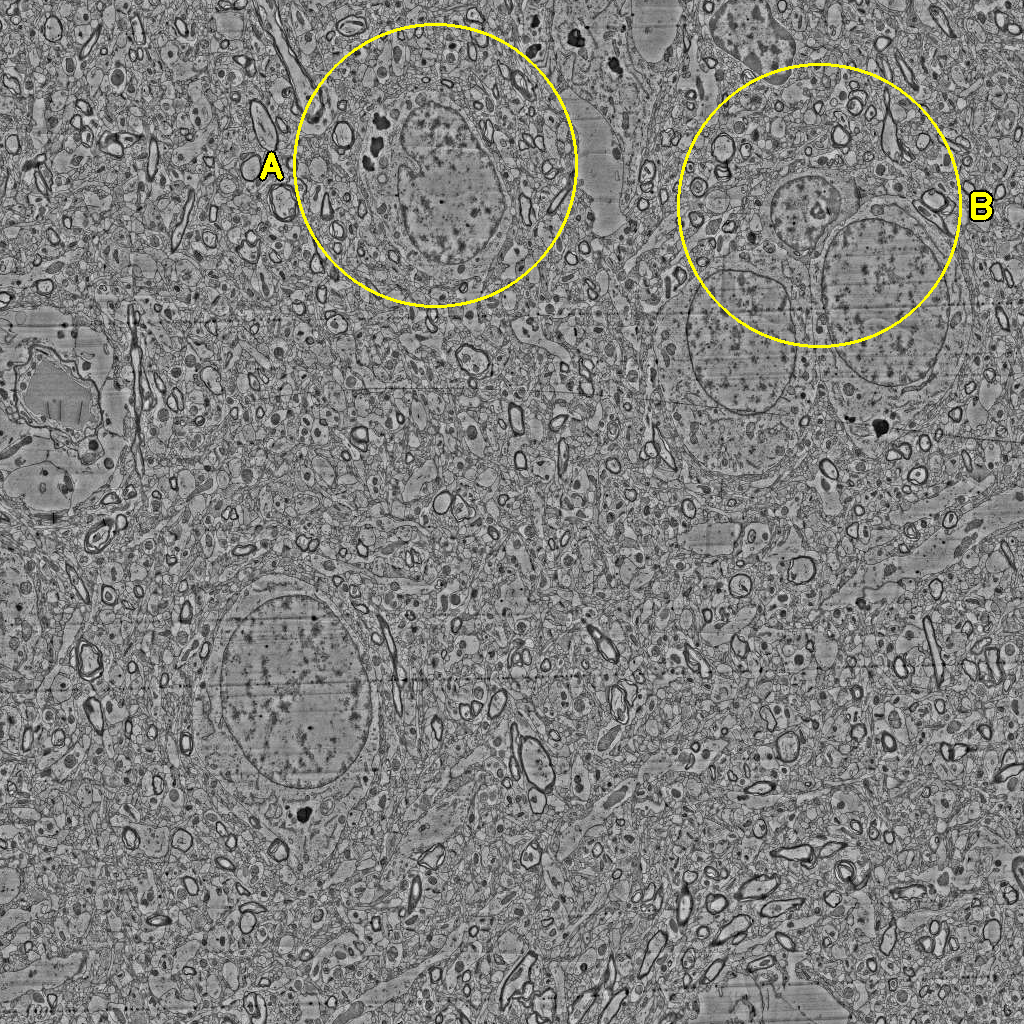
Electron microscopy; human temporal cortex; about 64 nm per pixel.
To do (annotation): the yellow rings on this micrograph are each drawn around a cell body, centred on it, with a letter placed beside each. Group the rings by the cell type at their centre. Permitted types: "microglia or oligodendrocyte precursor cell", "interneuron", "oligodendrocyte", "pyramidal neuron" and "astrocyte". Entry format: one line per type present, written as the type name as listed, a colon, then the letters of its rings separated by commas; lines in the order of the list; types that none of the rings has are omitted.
interneuron: A
oligodendrocyte: B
